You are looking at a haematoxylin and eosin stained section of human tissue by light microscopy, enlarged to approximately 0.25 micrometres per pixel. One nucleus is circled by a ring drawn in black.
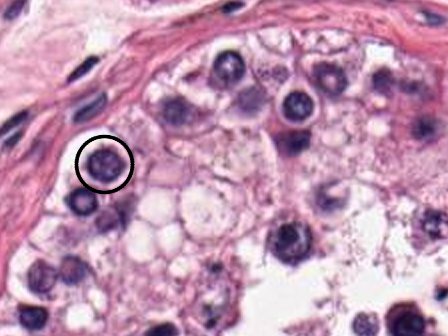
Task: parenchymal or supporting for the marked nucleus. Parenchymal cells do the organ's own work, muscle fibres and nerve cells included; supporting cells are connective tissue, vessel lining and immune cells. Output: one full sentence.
Within a parenchymal cell, namely a spermatogonium, sits the marked nucleus.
